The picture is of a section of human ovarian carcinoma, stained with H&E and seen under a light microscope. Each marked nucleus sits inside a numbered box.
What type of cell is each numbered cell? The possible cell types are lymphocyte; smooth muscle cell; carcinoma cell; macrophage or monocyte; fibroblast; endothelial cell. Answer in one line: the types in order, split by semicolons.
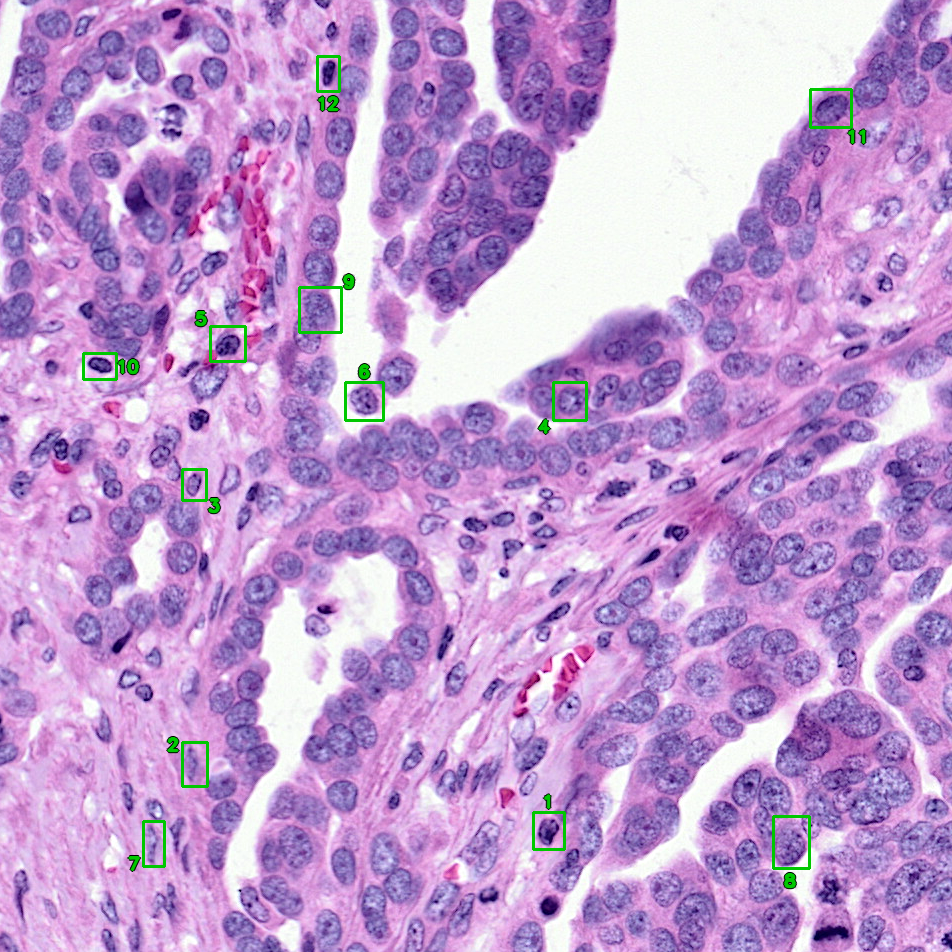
lymphocyte; fibroblast; macrophage or monocyte; carcinoma cell; lymphocyte; macrophage or monocyte; fibroblast; carcinoma cell; carcinoma cell; lymphocyte; carcinoma cell; lymphocyte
